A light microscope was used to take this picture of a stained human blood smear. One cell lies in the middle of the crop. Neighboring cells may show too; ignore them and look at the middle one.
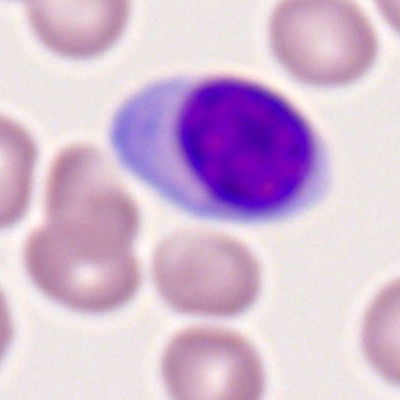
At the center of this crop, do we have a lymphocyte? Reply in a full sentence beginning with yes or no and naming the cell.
Yes, the cell at the middle of the frame is a lymphocyte.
